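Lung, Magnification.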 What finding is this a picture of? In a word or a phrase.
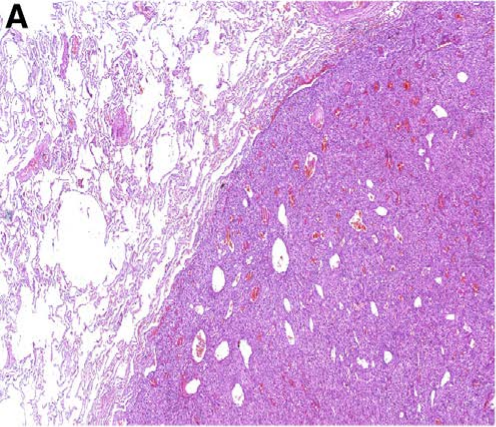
Does not have a fibrous capsule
